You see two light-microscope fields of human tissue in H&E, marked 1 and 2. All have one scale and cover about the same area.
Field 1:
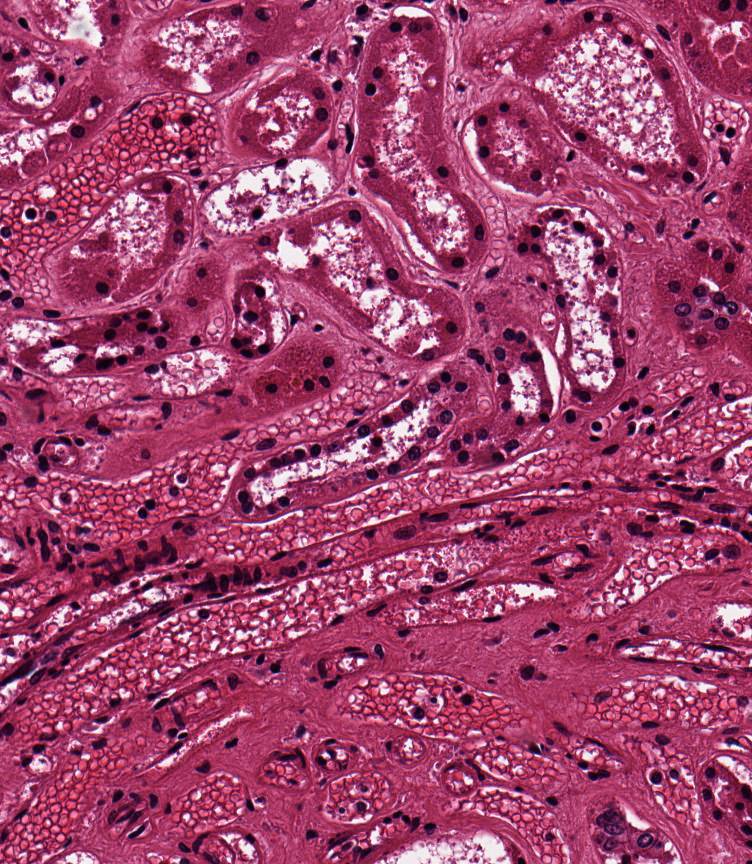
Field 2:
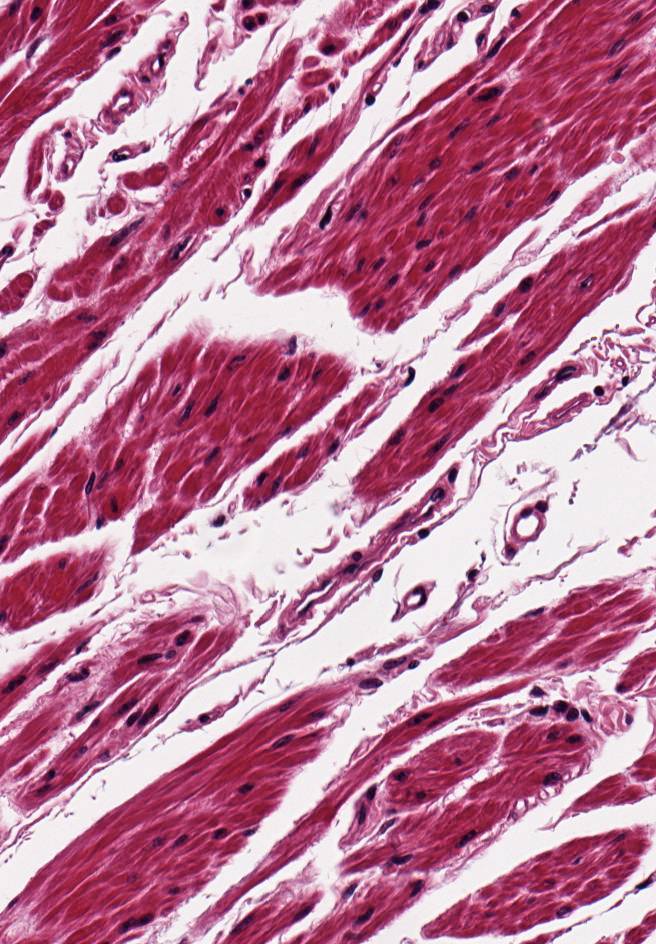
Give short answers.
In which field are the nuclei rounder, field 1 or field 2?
1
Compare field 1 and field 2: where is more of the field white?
2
